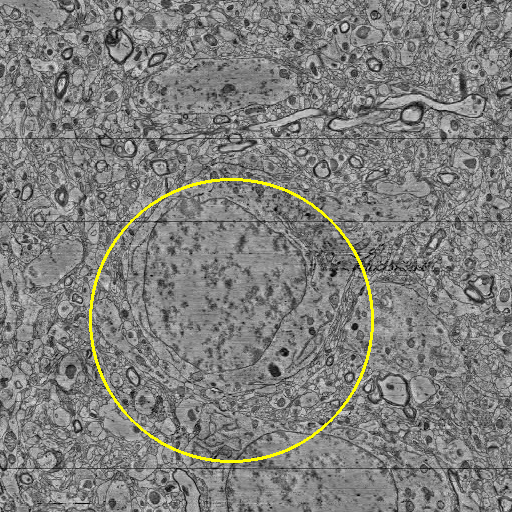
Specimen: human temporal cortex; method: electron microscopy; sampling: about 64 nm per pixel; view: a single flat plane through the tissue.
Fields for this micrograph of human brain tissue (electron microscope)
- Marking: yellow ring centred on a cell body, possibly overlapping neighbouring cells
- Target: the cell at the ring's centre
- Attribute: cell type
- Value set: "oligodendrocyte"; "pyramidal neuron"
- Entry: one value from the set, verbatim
pyramidal neuron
